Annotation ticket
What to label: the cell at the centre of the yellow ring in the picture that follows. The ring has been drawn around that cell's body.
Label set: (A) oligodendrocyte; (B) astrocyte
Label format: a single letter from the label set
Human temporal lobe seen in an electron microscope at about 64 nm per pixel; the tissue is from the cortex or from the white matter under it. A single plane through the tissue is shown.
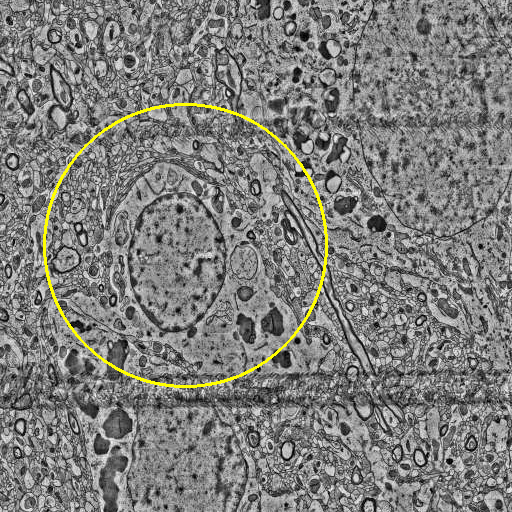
B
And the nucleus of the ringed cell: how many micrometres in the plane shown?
The nucleus works out at approximately 9 by 6 micrometres in this plane.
